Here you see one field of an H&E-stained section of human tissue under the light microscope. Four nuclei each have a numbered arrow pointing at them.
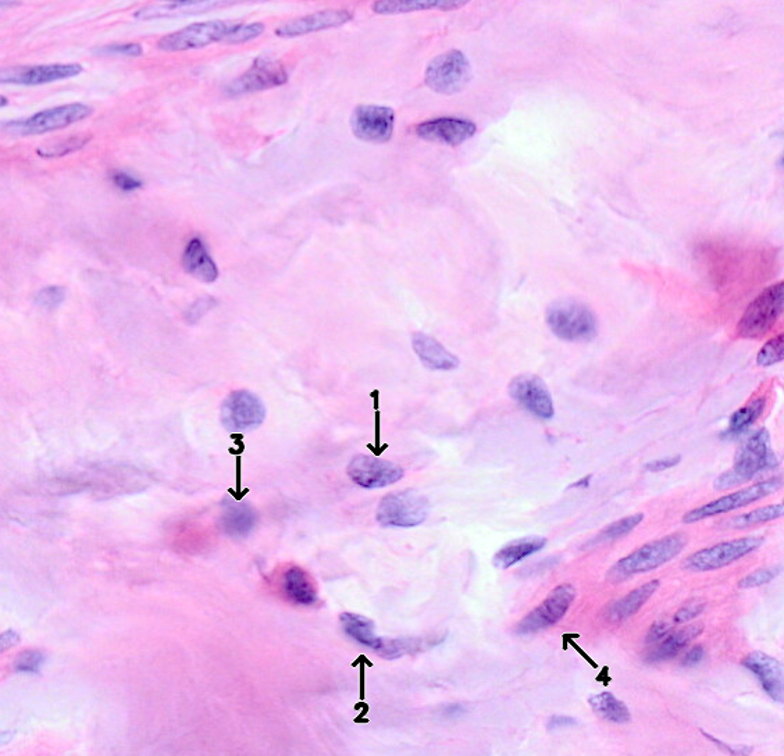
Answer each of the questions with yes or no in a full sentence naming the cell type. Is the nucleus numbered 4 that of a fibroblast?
No, it is not a fibroblast that bears number 4 but a smooth muscle cell.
